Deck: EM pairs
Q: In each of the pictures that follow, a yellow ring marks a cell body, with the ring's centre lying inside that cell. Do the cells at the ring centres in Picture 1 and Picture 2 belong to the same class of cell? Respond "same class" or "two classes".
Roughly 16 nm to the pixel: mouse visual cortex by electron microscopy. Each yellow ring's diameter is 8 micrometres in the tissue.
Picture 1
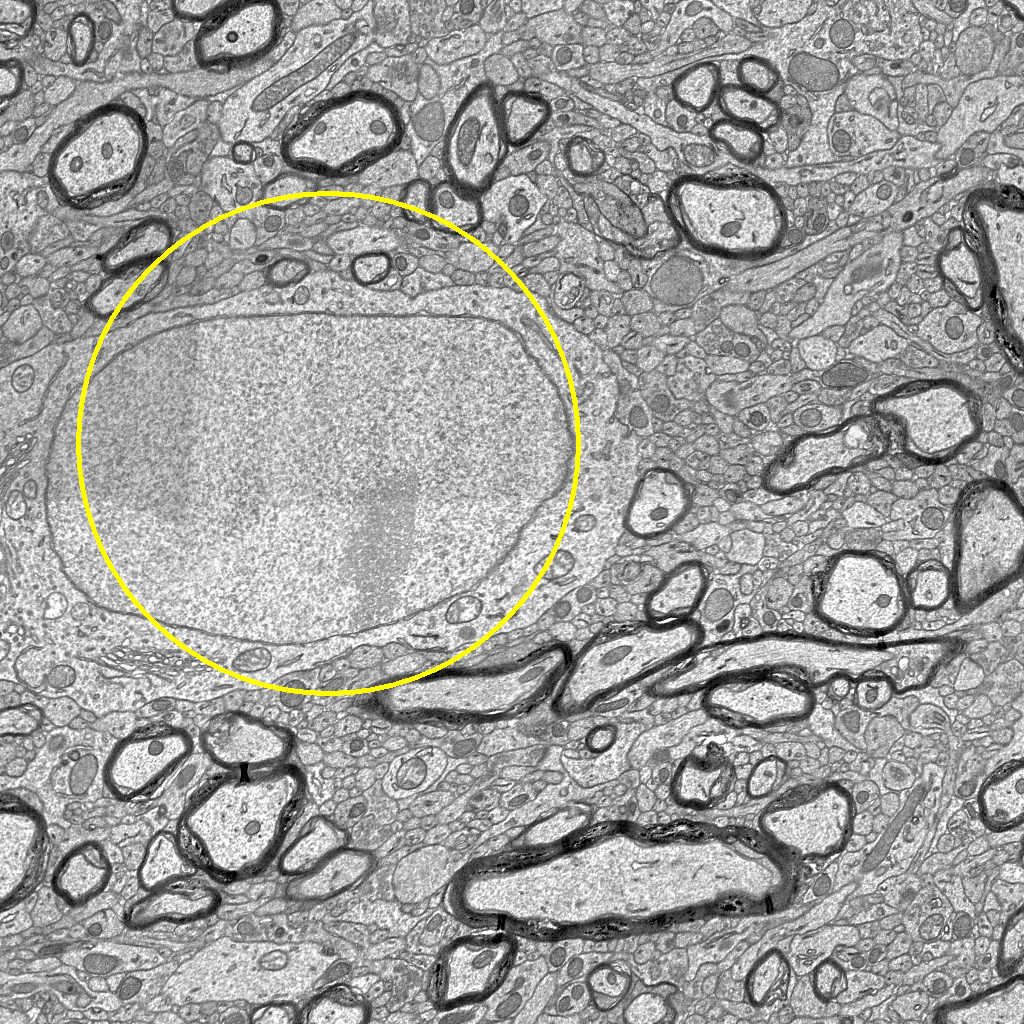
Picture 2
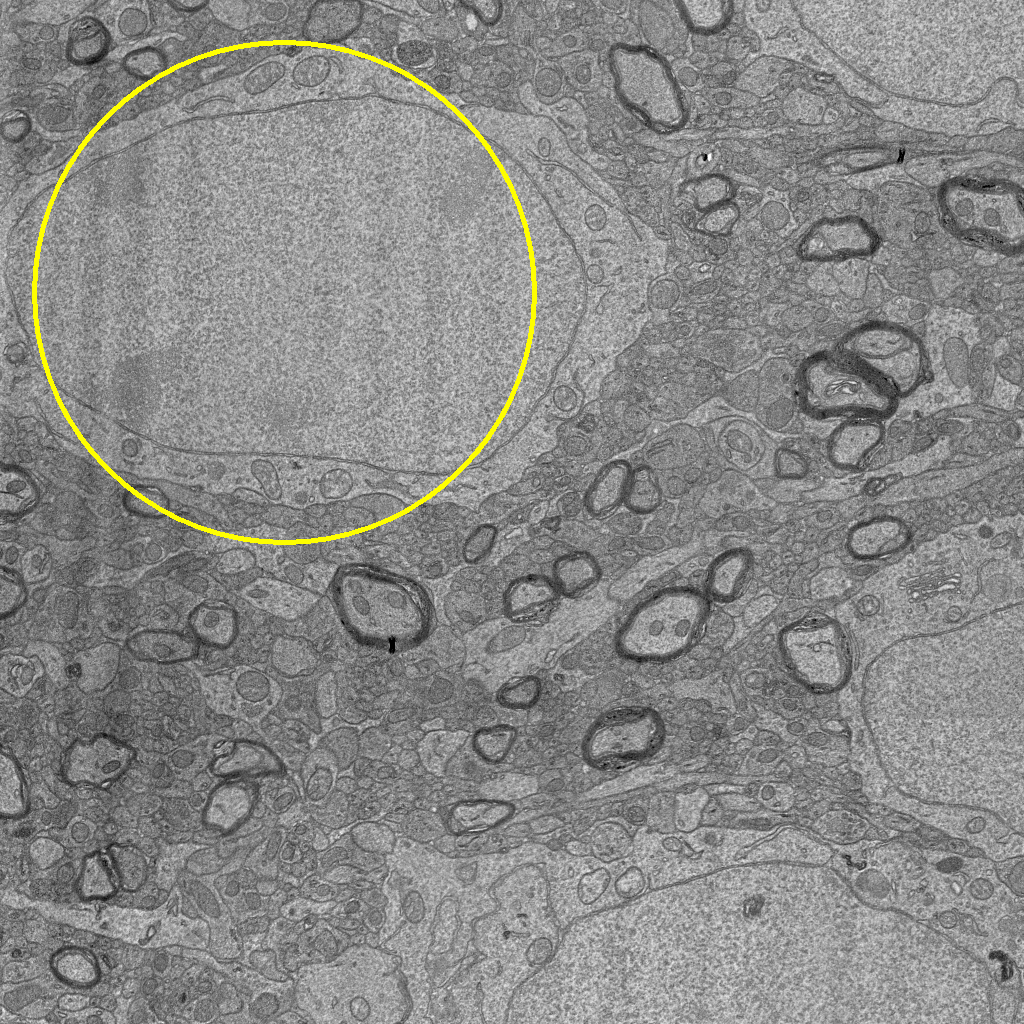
same class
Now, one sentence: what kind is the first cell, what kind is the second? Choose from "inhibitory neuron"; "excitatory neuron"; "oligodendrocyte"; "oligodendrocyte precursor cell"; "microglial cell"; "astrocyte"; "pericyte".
The cell in the first picture is an excitatory neuron, and so is the one in the second.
